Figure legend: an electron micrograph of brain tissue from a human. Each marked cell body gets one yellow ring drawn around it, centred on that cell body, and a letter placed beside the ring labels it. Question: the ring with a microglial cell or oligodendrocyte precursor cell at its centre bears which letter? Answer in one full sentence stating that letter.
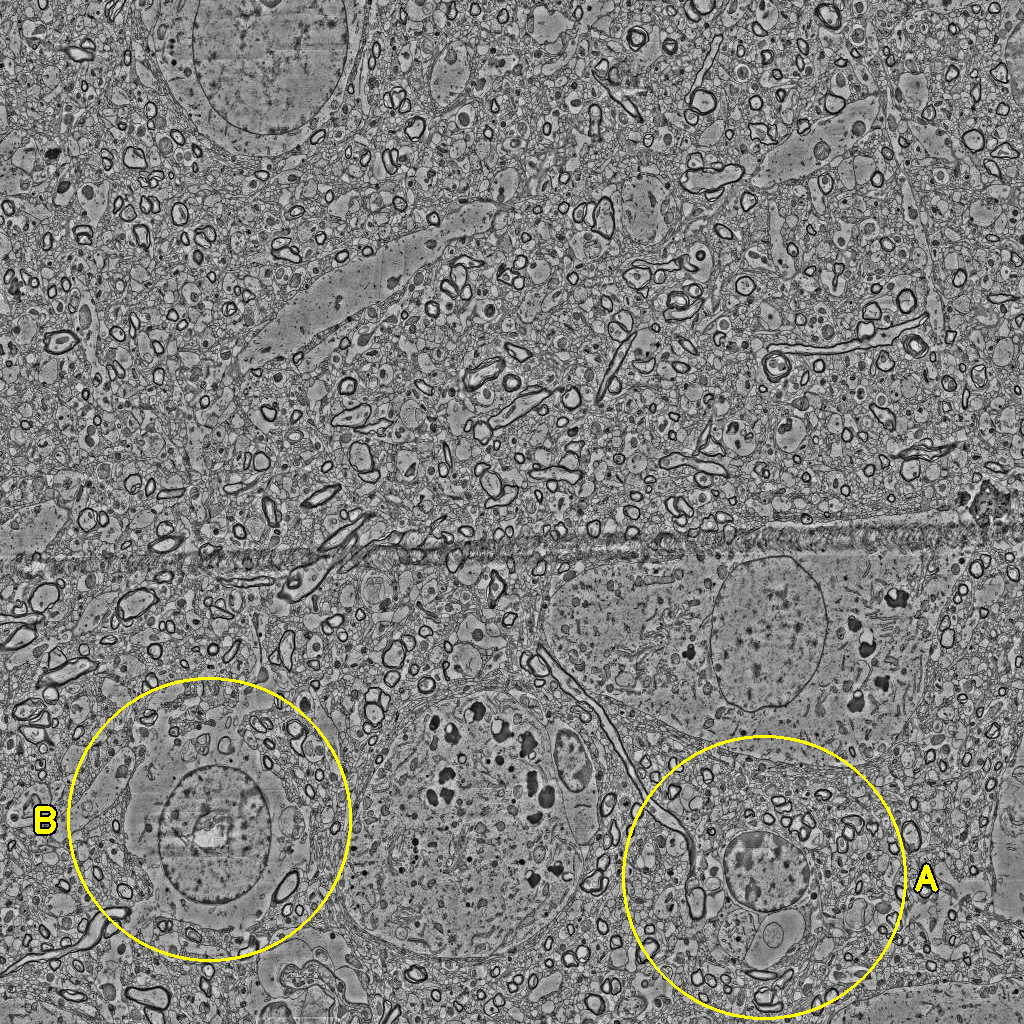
Labelled A is the ring whose centre holds the cell asked for in this picture.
